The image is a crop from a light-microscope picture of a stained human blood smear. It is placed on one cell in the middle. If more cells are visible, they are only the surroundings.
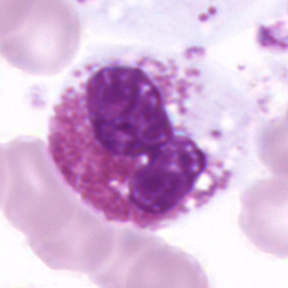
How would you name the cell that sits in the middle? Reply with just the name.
eosinophil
